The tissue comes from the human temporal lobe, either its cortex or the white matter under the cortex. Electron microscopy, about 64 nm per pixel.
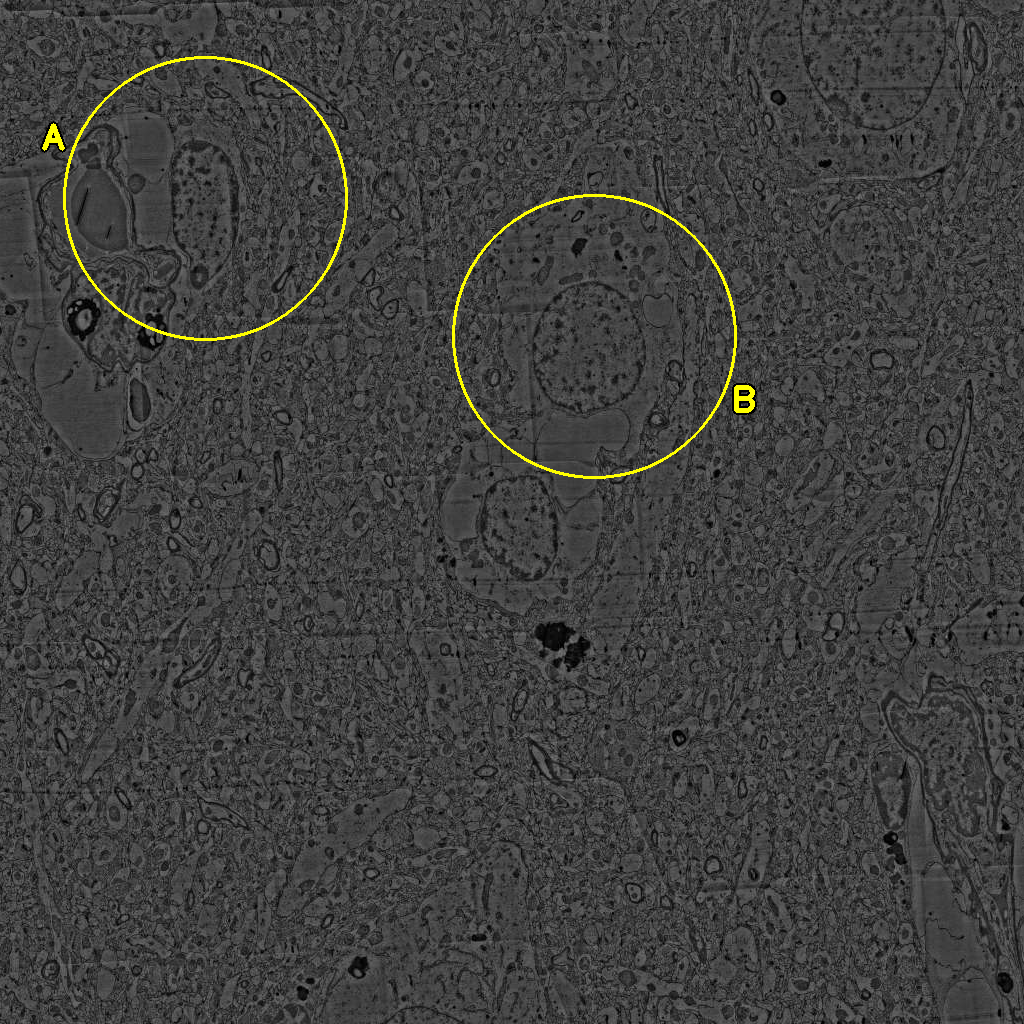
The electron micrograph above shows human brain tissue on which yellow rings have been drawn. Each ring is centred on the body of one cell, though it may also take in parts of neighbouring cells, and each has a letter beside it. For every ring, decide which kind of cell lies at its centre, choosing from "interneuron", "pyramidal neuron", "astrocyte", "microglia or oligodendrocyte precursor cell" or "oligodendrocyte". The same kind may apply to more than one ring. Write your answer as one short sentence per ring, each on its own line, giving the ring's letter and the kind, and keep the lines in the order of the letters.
Ring A is centred on a microglial cell or oligodendrocyte precursor cell.
Ring B is centred on an astrocyte.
